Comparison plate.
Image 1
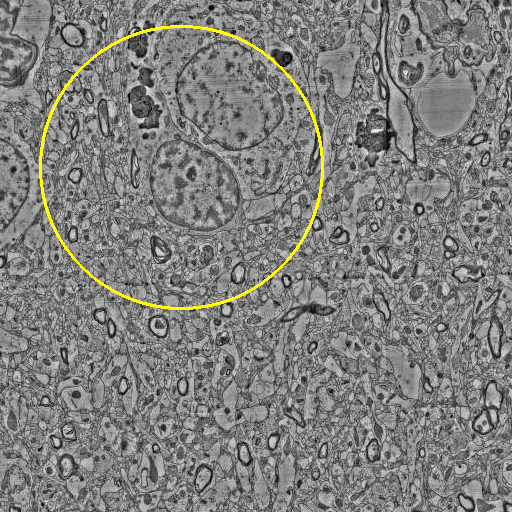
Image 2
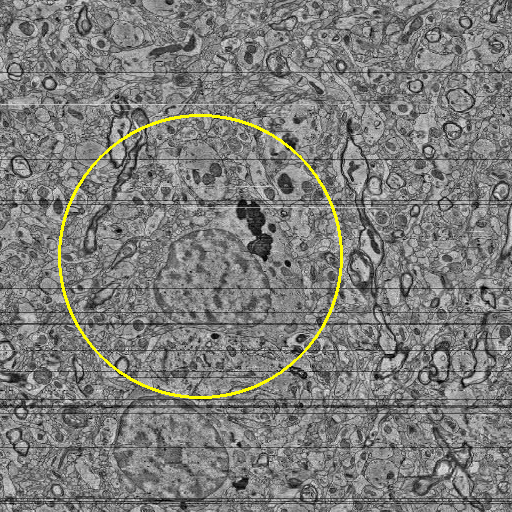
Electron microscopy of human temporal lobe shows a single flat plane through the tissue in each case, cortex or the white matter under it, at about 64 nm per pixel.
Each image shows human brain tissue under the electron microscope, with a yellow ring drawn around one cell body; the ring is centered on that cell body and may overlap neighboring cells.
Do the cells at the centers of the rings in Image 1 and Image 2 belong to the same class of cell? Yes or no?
yes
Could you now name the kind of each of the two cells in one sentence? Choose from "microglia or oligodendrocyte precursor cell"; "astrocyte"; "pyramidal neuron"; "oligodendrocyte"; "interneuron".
Each of the two rings surrounds an oligodendrocyte.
